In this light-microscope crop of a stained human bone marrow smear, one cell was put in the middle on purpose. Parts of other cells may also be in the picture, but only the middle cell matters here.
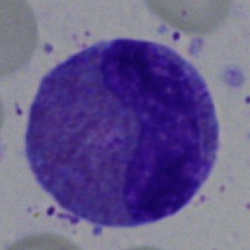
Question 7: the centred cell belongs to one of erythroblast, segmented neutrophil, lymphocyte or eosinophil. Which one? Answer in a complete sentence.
In the central position of this crop, the cell is an eosinophil.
